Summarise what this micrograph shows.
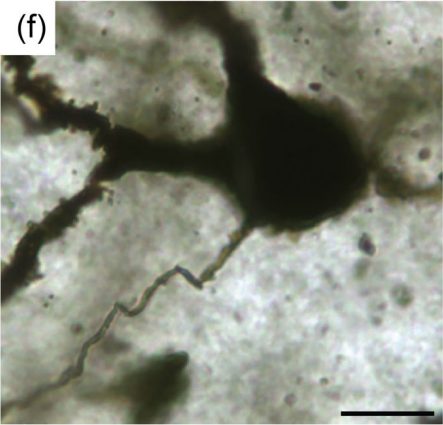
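This is a single Golgi-impregnated large spherical neuron, its rounded, solidly black cell body lying in the upper right of the field. A thick primary dendrite extends to the left, and its surface is rough and studded with small spines. A thin, wavy process, the axon, leaves the lower side of the cell body and runs toward the lower left. The background is pale and finely speckled, with a fragment of another dark-stained element at the bottom.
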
